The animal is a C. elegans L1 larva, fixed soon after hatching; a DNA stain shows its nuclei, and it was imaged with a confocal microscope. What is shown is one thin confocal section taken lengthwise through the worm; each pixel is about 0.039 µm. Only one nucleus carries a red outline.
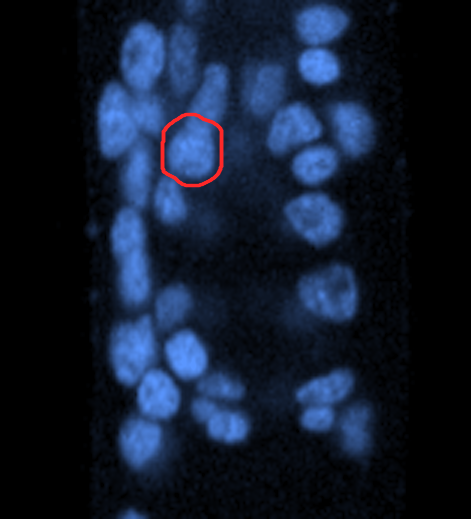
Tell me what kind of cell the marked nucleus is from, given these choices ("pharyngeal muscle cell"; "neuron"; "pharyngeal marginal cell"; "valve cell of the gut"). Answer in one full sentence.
The marked cell is a pharyngeal muscle cell.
